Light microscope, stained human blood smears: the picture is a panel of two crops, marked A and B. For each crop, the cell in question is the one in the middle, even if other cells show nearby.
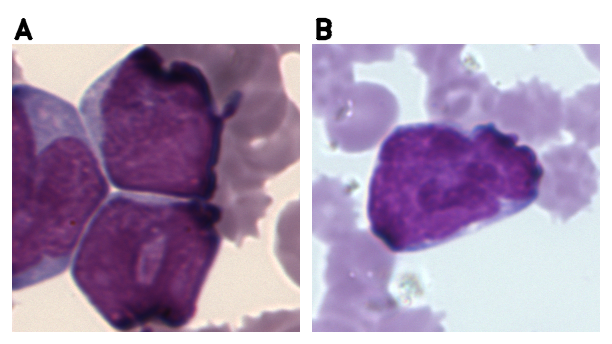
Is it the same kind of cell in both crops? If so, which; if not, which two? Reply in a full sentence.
Yes, the middle cells in both crops are indeed myeloblasts.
